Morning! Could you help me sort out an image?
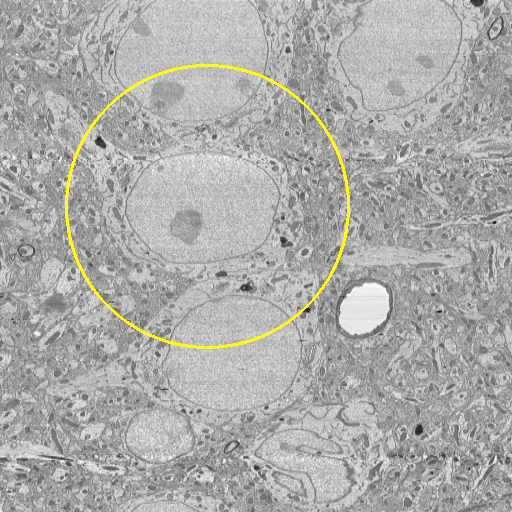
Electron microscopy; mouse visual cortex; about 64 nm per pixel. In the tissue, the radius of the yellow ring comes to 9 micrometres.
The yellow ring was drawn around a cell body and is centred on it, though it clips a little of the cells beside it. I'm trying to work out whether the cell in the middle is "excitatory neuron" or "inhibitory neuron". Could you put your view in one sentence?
The ringed cell body is that of an excitatory neuron.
